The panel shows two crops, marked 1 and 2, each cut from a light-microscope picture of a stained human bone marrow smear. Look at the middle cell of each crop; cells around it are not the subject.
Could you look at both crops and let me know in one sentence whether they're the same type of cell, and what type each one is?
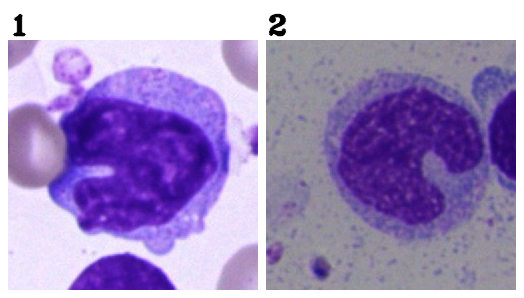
Yes, they do, both crops show monocytes.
